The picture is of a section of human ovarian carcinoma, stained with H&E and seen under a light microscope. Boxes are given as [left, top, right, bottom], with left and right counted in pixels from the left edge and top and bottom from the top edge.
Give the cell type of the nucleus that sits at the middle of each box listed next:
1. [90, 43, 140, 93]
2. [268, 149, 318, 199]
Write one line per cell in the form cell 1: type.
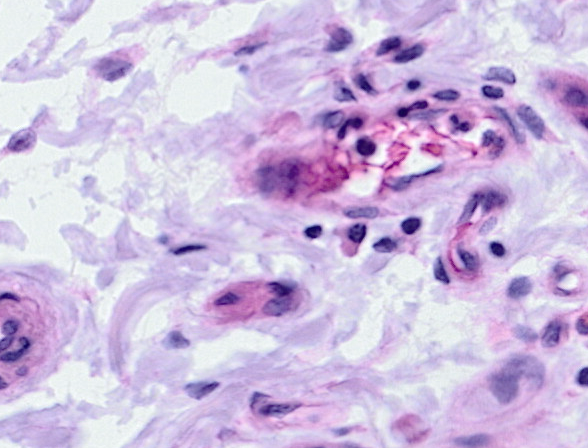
cell 1: fibroblast
cell 2: endothelial cell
